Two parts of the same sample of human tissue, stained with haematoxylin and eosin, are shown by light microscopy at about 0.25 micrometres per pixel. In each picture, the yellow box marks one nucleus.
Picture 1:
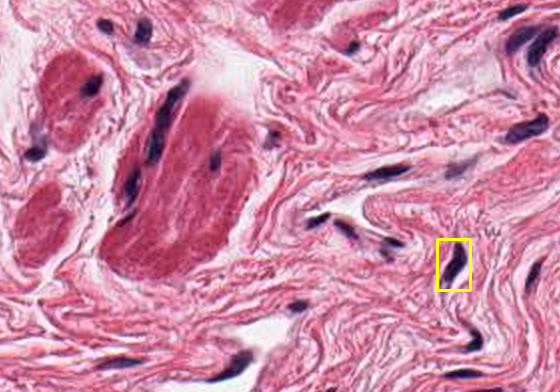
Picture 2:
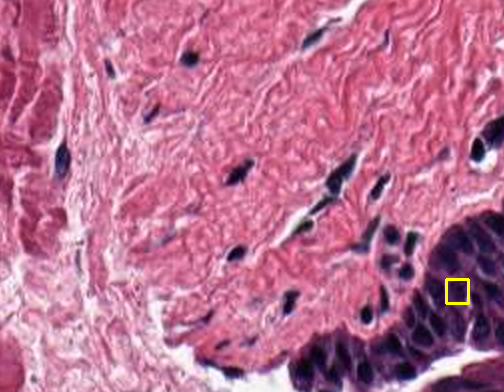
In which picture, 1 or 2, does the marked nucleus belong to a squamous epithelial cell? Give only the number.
2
